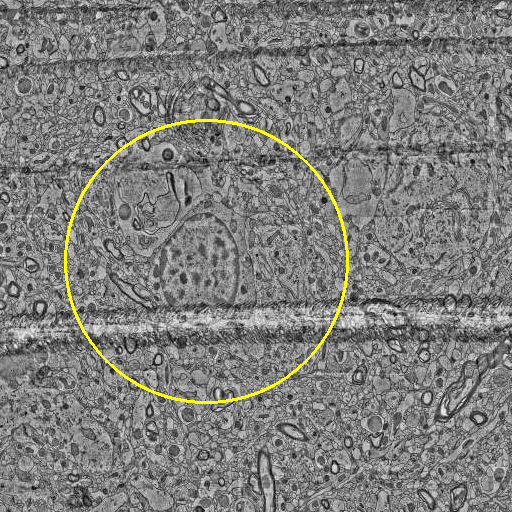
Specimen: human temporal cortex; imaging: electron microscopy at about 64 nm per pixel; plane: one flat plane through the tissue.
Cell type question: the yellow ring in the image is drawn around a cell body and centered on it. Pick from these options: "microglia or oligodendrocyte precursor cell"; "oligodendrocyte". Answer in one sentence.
The ringed cell at the center is an oligodendrocyte.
